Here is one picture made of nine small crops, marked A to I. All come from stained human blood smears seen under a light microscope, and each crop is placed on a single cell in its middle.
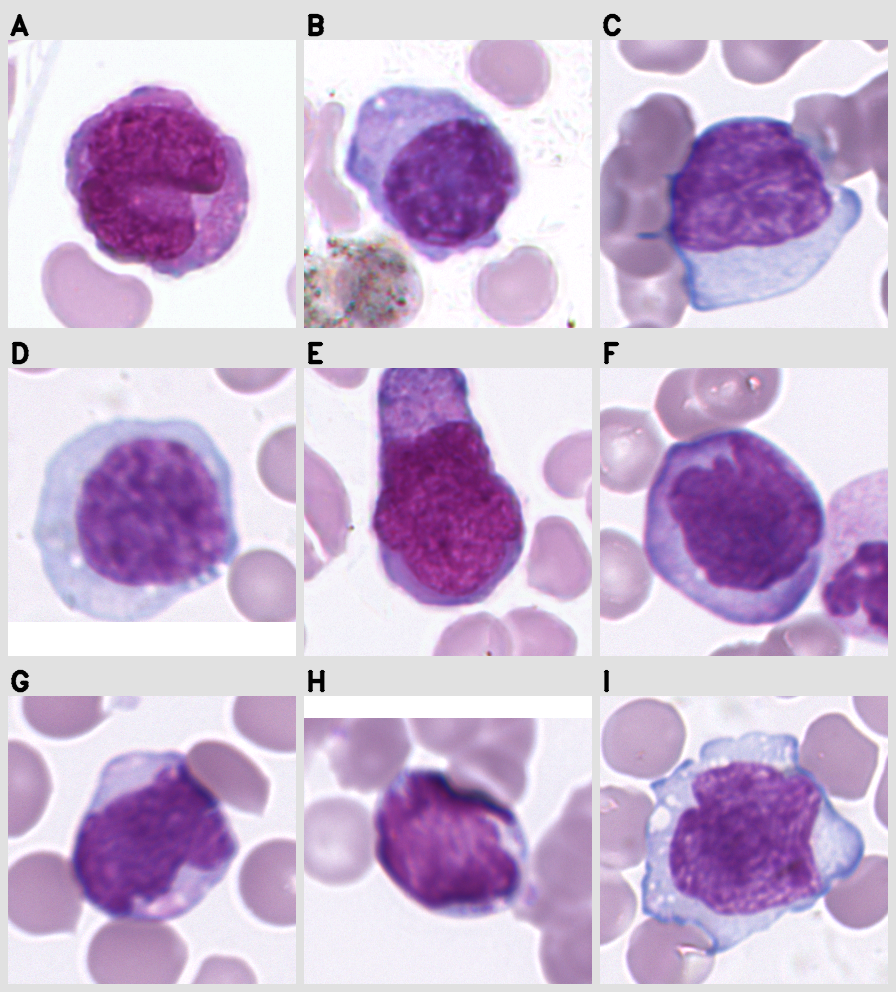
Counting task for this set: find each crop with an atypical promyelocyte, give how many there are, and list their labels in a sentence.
In four crops, namely A, E, F and G, the cells shown are atypical promyelocytes.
